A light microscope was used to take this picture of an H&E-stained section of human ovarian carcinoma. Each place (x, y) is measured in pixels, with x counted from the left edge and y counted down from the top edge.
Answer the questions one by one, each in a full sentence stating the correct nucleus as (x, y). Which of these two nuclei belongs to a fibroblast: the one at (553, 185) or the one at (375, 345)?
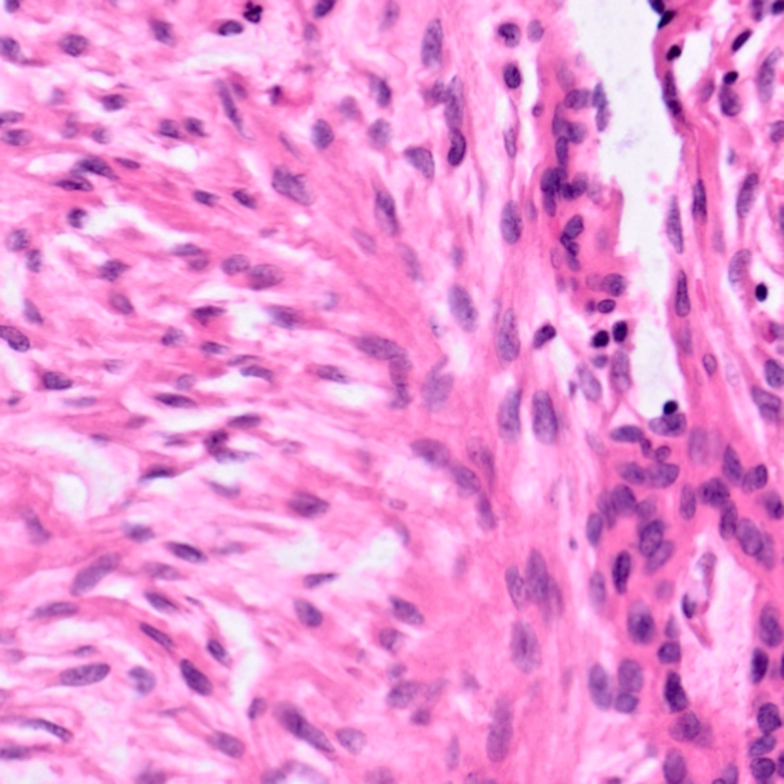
Of these two nuclei, it is the one at (375, 345) that belongs to a fibroblast.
